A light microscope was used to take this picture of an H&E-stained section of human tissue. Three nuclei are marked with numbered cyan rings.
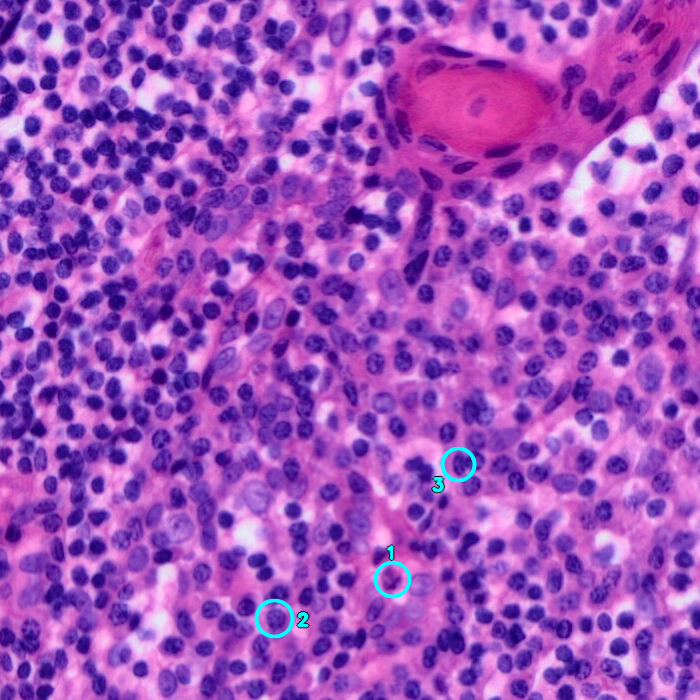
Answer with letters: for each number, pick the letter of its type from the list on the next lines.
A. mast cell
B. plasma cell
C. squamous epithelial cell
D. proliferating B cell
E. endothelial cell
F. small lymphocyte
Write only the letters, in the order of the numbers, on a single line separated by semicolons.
E; B; B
